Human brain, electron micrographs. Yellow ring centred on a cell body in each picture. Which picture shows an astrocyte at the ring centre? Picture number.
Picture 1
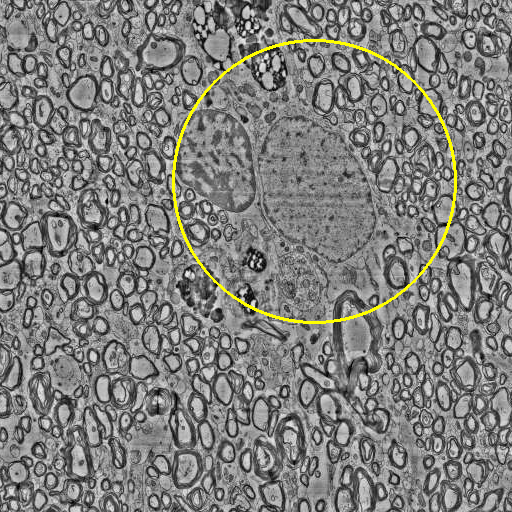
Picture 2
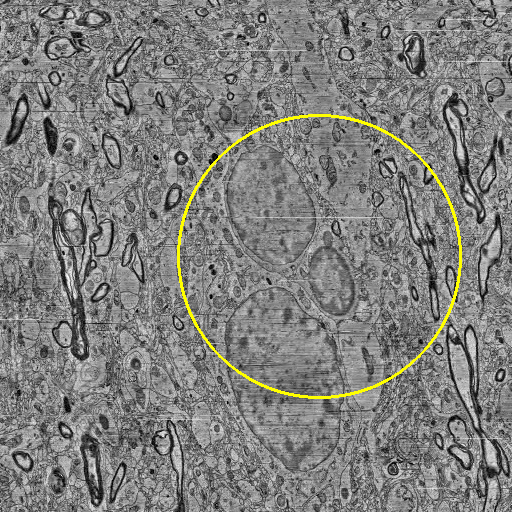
1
